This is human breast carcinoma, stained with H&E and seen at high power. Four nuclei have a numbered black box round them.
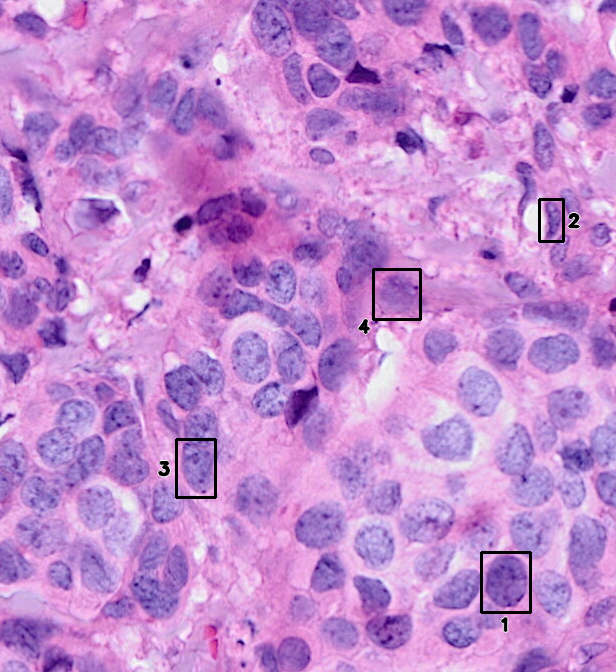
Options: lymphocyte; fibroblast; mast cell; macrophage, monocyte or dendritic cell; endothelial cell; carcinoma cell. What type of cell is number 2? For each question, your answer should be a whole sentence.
The cell that goes by number 2 is an endothelial cell.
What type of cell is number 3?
The cell pointed out by number 3 is a carcinoma cell.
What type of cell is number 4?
Regarding cell 4, this one is a carcinoma cell.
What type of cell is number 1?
The cell referenced by the number 1 is a carcinoma cell in this field.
